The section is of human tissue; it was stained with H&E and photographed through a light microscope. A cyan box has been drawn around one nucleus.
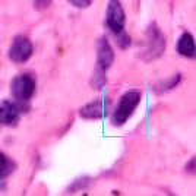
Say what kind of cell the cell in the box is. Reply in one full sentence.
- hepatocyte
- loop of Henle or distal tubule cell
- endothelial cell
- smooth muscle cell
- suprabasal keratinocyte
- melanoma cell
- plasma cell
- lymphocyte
As classified here, the cell in the box is a lymphocyte.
